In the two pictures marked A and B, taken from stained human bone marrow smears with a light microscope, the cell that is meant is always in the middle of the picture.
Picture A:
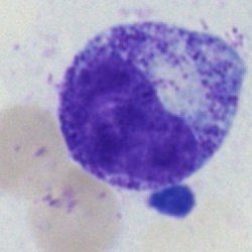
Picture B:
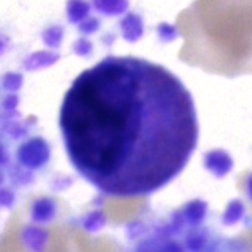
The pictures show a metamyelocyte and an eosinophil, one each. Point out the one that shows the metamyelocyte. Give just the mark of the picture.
A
